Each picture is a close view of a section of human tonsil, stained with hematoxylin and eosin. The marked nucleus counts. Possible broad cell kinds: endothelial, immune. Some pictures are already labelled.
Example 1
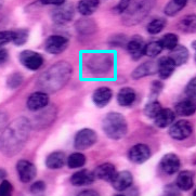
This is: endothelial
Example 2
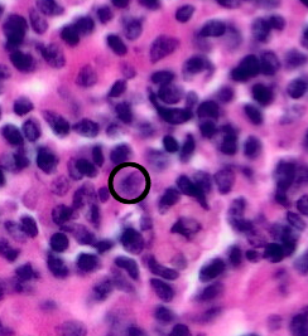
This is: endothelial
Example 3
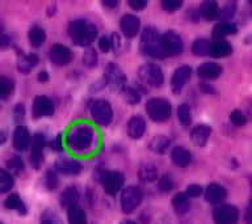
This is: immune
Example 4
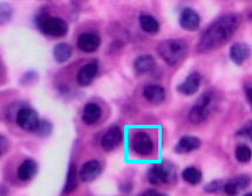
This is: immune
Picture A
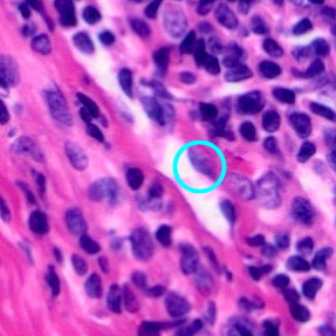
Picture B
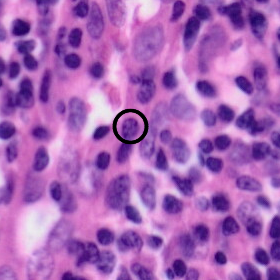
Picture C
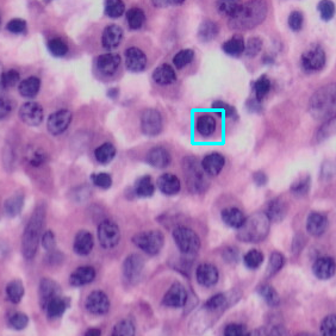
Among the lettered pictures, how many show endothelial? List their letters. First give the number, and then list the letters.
Count: 2 (A, B)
